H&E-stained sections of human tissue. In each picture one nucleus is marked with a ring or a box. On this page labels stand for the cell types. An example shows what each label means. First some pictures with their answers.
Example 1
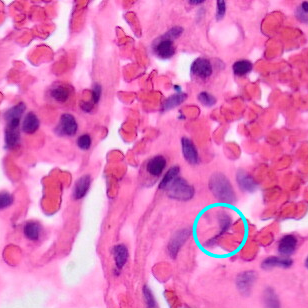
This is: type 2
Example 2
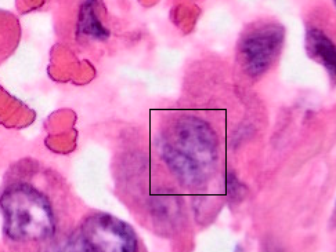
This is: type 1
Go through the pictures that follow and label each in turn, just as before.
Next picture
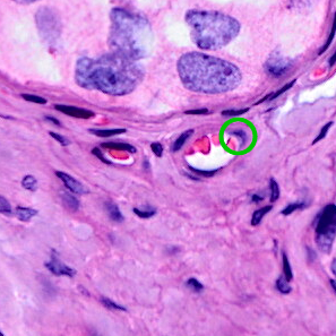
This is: type 2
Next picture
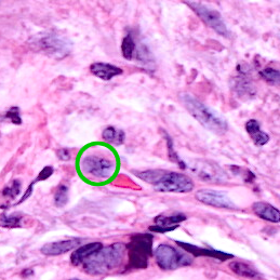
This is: type 2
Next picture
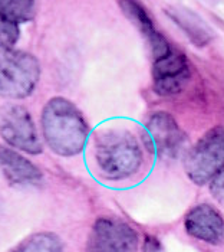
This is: type 1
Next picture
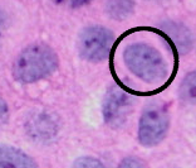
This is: type 1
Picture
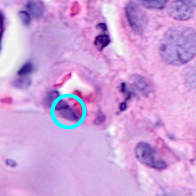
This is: type 2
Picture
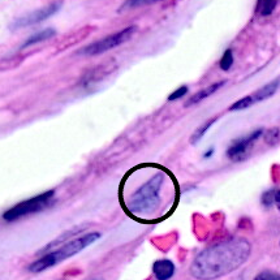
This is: type 2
